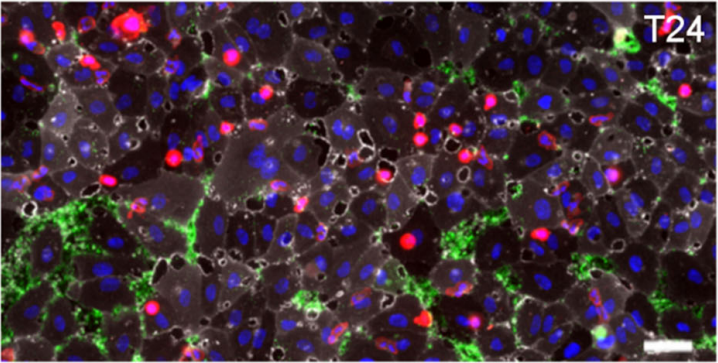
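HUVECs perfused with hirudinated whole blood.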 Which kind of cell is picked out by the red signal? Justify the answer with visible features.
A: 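Numerous small round red cells are scattered over a flat cell layer. The red cells carry blue nuclei and are smaller than the flat cells. So: leukocytes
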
